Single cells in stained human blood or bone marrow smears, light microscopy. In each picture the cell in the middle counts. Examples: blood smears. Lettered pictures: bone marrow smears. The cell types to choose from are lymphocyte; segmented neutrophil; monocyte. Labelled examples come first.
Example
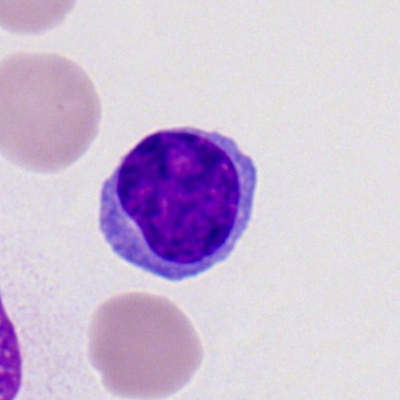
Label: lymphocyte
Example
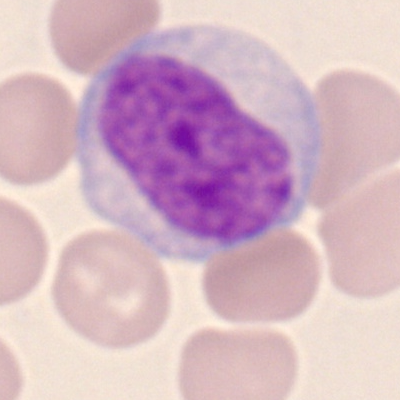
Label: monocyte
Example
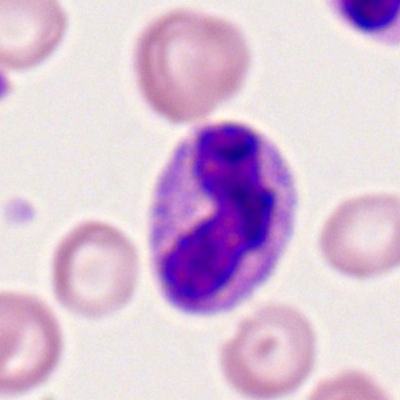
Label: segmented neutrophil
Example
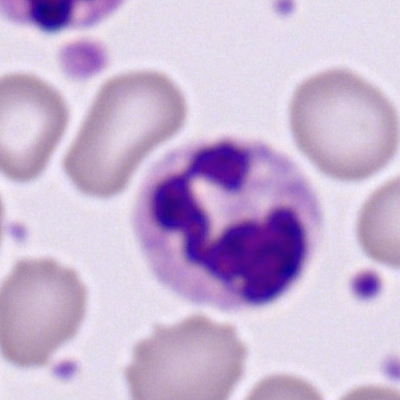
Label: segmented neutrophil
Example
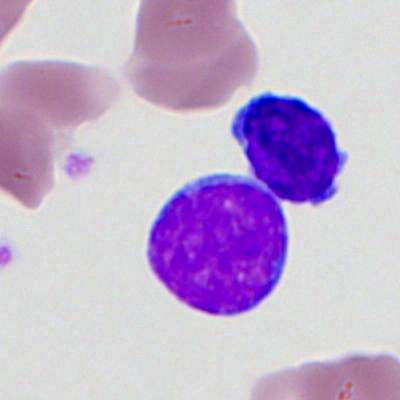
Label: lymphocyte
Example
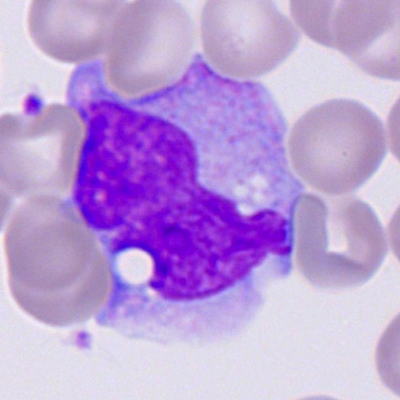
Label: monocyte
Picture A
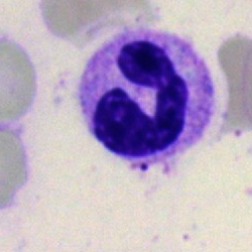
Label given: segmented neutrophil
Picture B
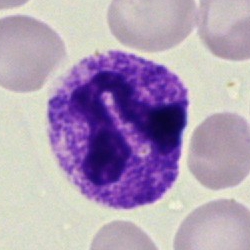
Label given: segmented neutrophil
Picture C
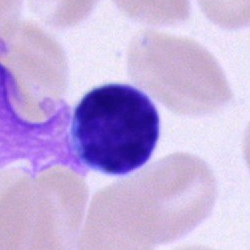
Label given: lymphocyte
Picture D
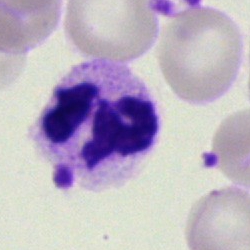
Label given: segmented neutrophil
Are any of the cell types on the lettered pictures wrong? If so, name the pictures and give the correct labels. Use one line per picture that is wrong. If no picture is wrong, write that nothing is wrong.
Nothing to fix; every label fits.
